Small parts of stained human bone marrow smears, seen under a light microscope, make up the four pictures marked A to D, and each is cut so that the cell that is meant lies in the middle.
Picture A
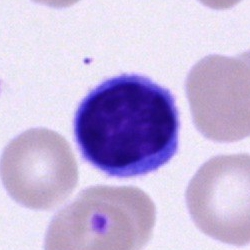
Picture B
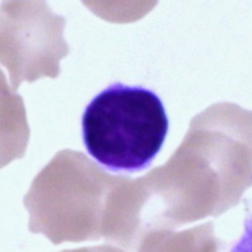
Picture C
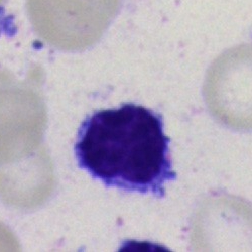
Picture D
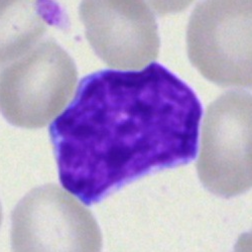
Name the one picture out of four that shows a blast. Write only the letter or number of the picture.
D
